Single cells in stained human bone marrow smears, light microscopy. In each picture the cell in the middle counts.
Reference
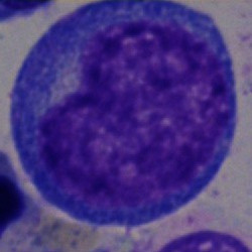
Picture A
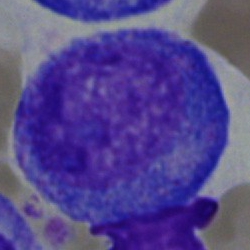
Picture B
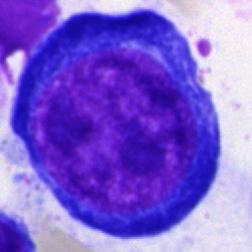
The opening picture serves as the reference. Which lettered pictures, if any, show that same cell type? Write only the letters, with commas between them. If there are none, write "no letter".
A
